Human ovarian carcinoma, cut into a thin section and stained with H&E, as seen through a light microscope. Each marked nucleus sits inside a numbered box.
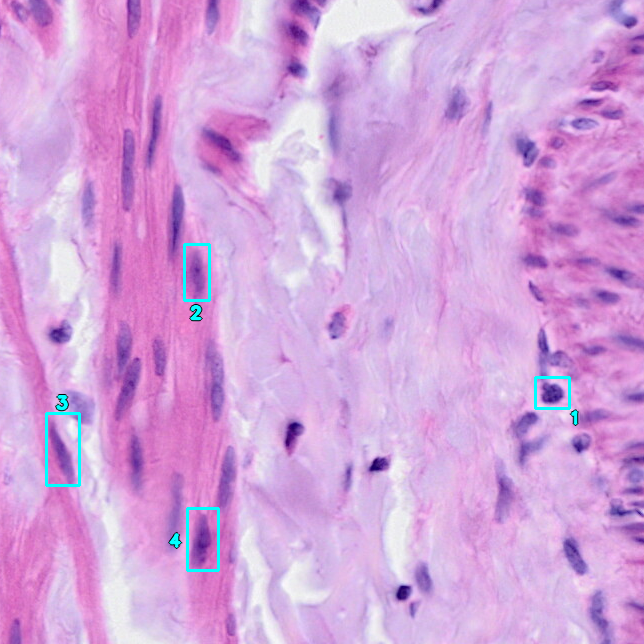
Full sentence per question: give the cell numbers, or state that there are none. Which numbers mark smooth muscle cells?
So, the cells with numbers 2, 3 and 4 are smooth muscle cells.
